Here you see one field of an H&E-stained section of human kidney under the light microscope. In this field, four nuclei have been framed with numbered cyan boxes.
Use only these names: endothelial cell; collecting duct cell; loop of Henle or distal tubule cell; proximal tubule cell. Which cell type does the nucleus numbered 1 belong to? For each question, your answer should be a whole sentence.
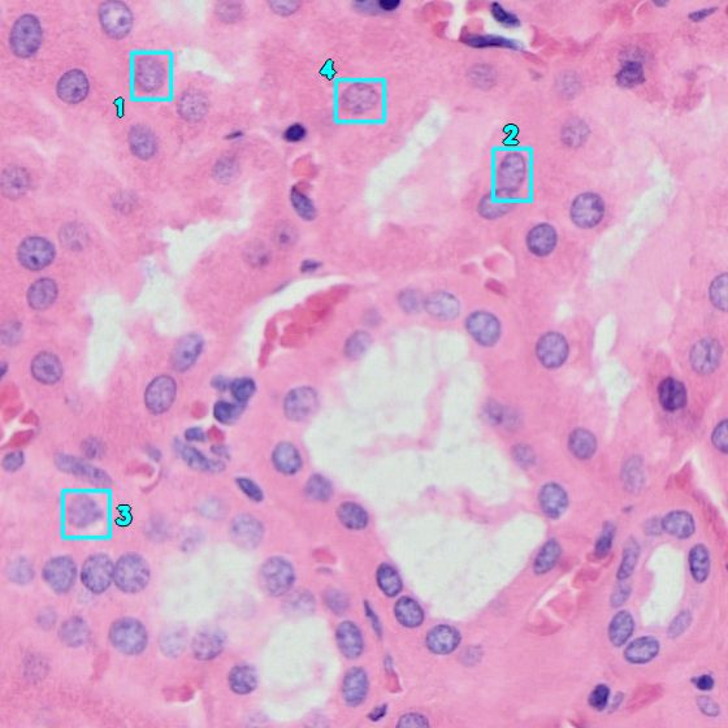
Identified as a proximal tubule cell is the cell bearing the number 1.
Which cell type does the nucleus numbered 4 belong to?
Regarding cell 4, this one is a proximal tubule cell.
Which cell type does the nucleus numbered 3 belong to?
The cell given label 3 is a loop of Henle or distal tubule cell.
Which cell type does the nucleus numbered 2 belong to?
Within this field of view, the cell labelled 2 is a proximal tubule cell.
